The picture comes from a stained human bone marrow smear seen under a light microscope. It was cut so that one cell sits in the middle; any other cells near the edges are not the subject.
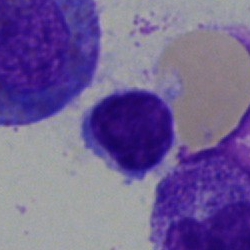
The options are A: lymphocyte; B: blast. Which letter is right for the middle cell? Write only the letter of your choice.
A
